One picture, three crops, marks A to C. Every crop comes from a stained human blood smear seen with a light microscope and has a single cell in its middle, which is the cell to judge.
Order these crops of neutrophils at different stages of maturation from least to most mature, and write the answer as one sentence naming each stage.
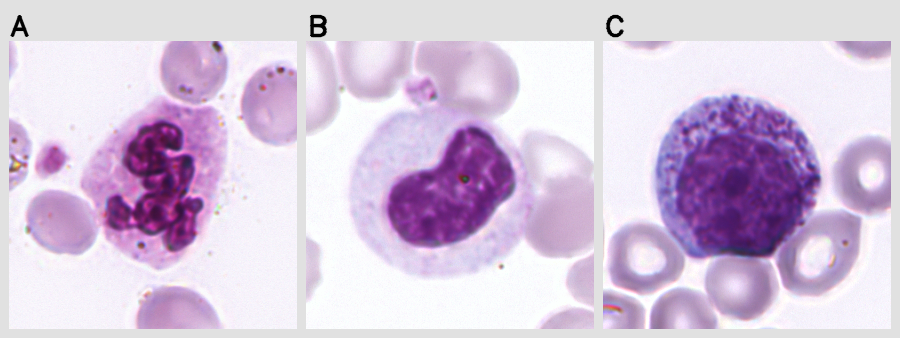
In ascending order of maturity, the cells are crop C (a myelocyte), crop B (a metamyelocyte) and crop A (a segmented neutrophil).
